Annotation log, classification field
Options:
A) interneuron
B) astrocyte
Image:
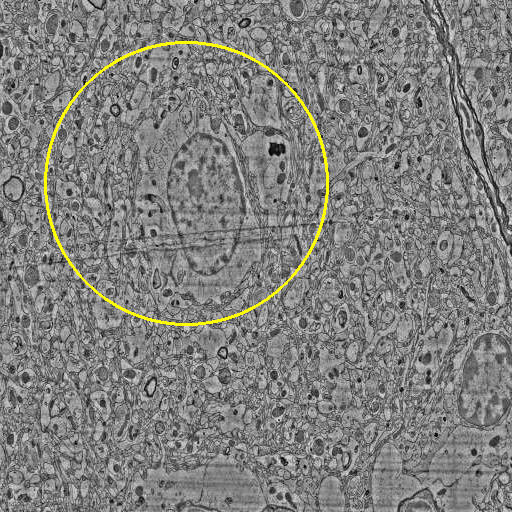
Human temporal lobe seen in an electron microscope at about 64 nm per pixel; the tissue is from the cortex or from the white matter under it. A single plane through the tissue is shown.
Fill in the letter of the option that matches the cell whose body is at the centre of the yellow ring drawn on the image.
B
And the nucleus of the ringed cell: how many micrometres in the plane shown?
The nucleus is about 9 micrometres in length and 5 in width, clearly longer than it is wide in this plane.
